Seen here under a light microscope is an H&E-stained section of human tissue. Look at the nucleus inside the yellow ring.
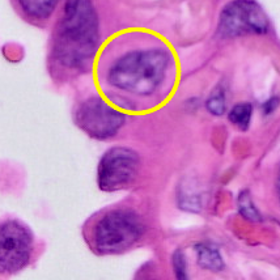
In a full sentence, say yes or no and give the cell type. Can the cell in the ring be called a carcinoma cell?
Yes, it is as a carcinoma cell that the cell in the ring is classified.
